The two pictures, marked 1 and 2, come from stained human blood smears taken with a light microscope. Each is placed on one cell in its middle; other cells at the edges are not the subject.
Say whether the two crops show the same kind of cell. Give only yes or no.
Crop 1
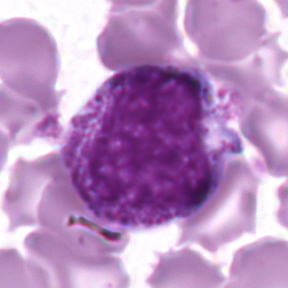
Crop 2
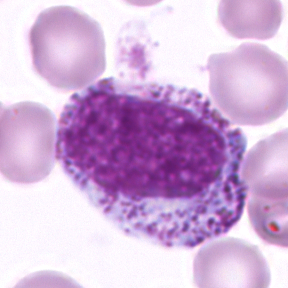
yes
